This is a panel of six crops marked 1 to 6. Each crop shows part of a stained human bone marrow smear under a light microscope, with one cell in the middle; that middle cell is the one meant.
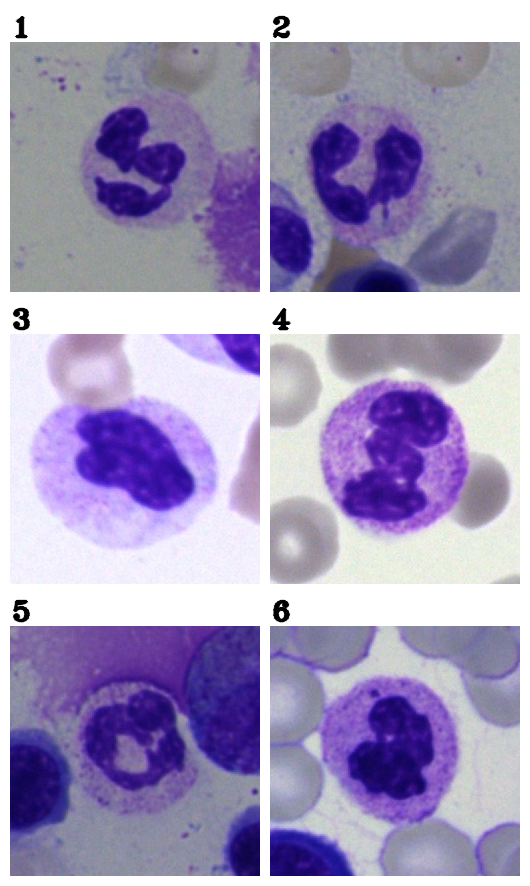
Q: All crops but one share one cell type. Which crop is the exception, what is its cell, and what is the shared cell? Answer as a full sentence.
The different one is crop 3, which is a band neutrophil; the rest all show segmented neutrophils.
